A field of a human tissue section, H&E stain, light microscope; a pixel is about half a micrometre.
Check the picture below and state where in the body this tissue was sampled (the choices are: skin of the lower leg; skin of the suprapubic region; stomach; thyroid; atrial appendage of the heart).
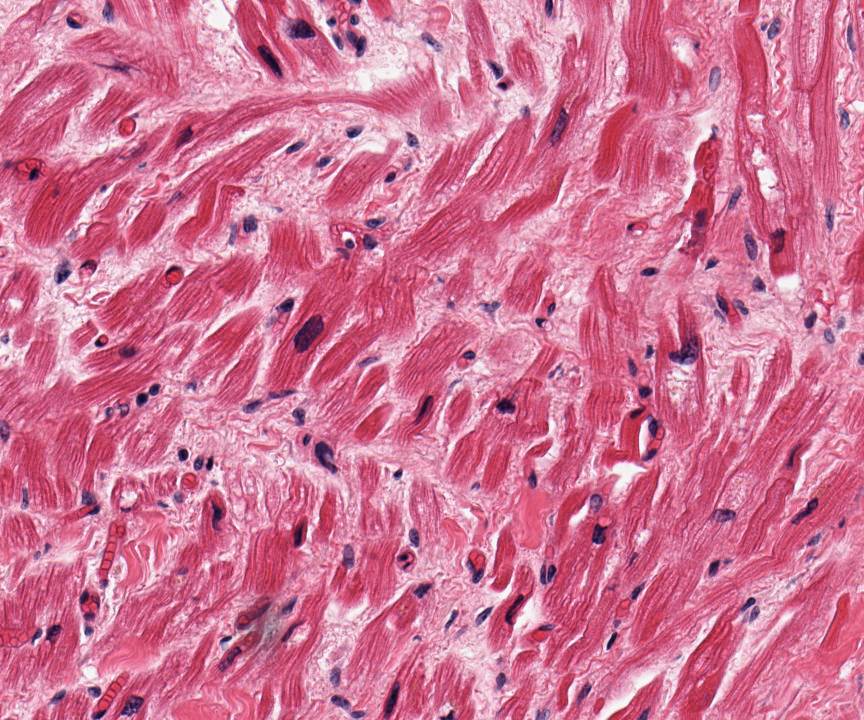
atrial appendage of the heart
